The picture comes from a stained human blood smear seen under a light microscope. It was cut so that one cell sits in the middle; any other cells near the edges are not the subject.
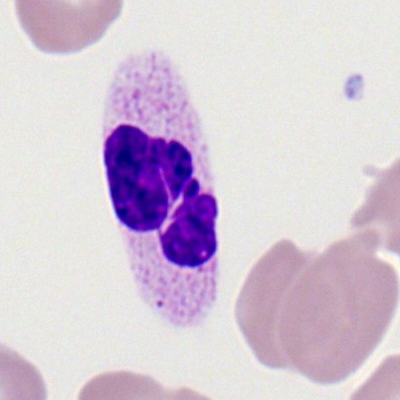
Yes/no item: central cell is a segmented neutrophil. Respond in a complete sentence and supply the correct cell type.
Yes, in the centre of this field sits a segmented neutrophil.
